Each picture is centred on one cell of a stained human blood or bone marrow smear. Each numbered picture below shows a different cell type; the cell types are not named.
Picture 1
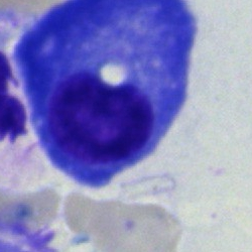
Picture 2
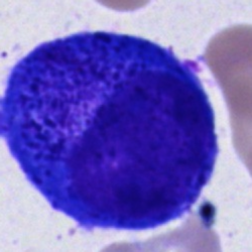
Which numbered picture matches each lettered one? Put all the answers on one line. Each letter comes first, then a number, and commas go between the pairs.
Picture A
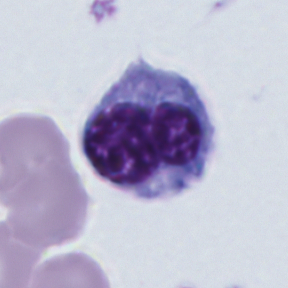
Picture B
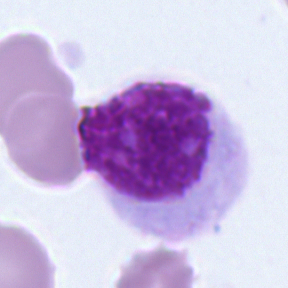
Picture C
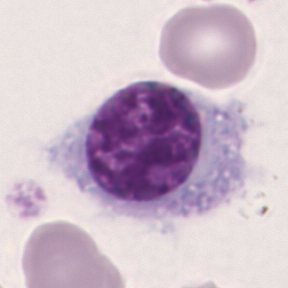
A 1, B 1, C 1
